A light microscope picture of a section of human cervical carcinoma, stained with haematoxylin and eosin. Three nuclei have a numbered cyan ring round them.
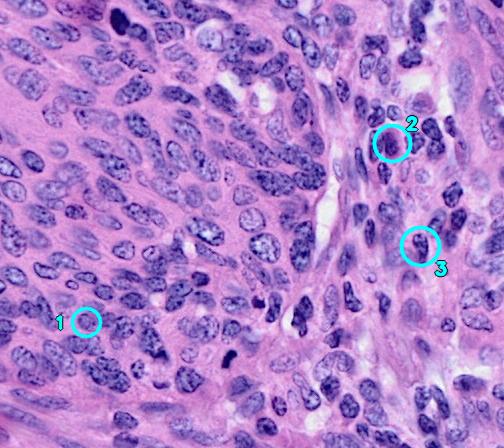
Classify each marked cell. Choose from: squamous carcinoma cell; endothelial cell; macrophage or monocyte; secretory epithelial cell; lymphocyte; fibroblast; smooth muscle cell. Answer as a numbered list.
1. squamous carcinoma cell
2. lymphocyte
3. lymphocyte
